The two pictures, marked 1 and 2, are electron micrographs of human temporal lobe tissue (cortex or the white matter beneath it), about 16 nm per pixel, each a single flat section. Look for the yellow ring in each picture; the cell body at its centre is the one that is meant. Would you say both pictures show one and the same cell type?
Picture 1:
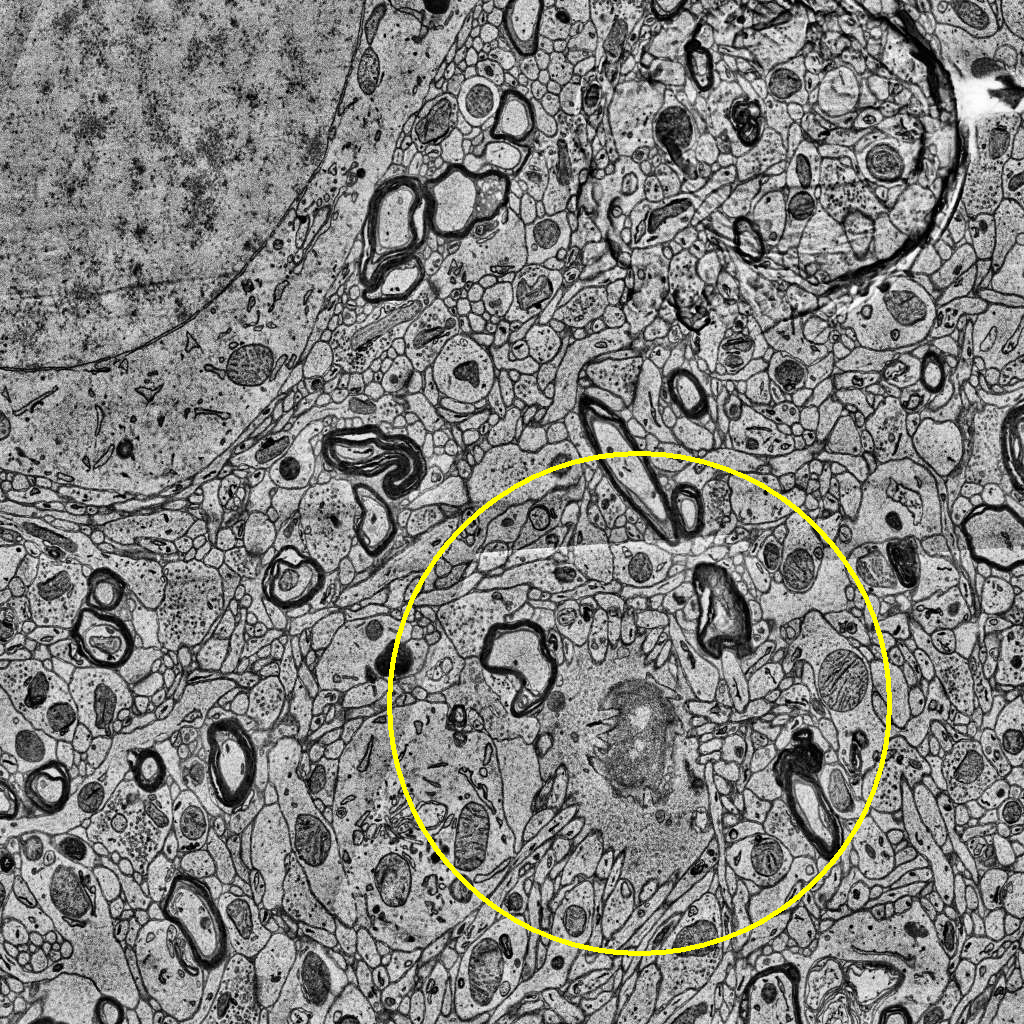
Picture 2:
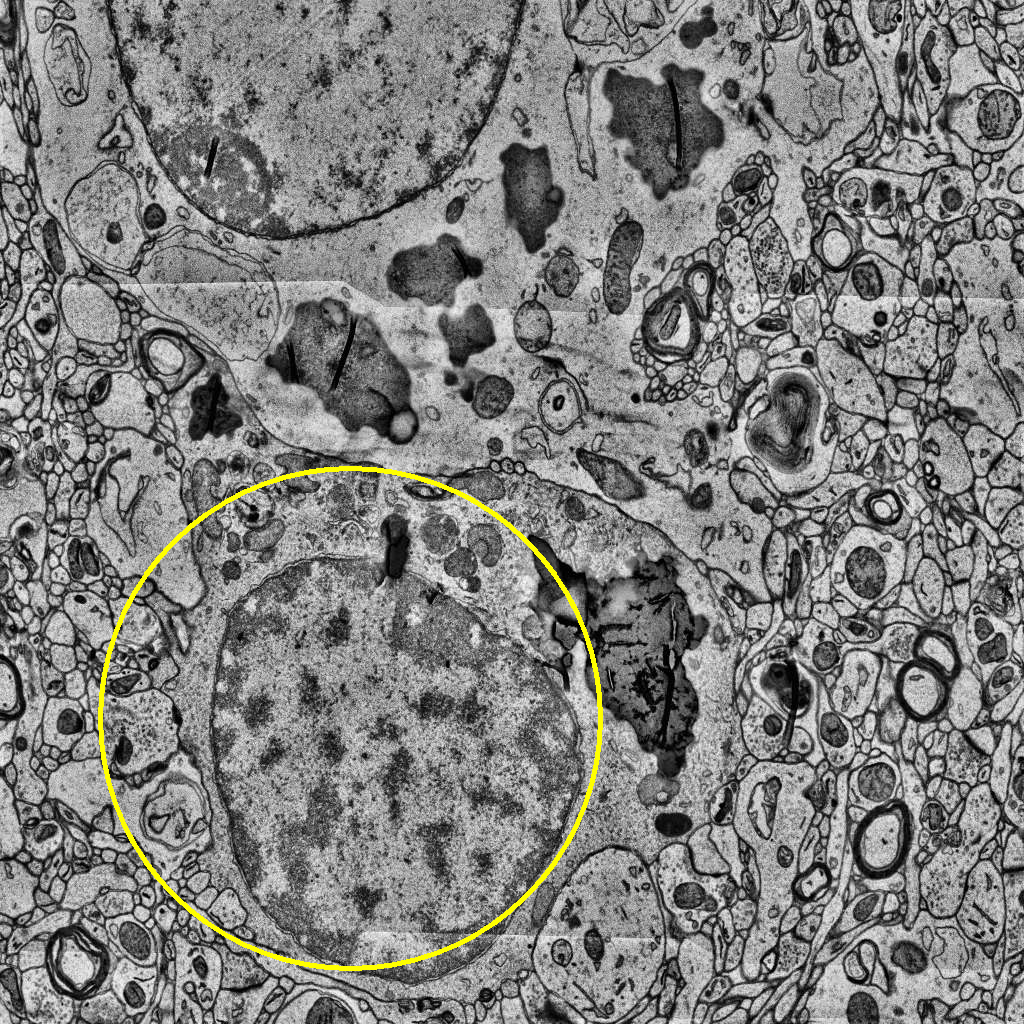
Yes, both are oligodendrocytes.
